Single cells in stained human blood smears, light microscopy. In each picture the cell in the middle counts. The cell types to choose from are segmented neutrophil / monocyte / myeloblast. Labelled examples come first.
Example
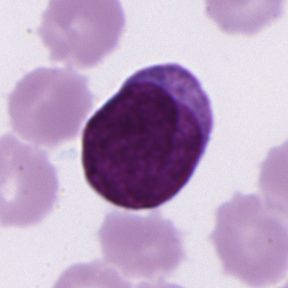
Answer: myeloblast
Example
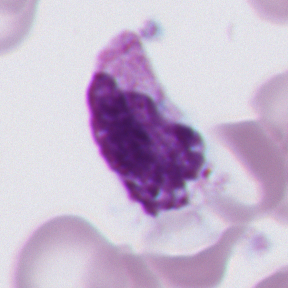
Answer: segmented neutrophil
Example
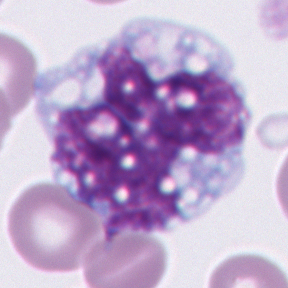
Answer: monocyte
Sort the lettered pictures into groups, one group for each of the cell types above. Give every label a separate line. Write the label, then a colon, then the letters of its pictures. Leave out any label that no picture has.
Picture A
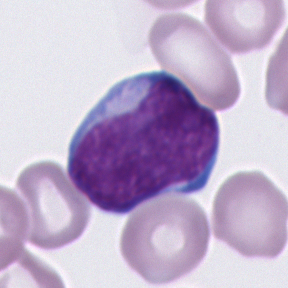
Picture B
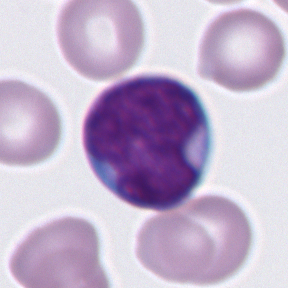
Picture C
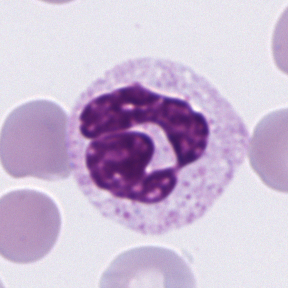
segmented neutrophil: C
myeloblast: A, B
